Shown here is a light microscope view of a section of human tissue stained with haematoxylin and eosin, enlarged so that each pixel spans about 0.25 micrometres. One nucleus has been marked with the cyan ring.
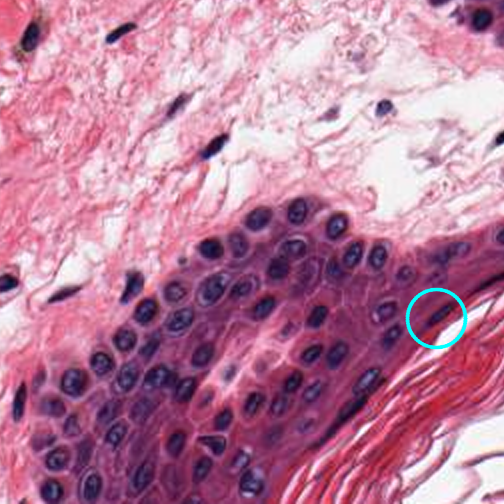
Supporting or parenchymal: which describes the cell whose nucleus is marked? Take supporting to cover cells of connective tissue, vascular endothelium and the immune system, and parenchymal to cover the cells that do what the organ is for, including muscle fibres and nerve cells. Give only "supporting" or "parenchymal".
parenchymal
